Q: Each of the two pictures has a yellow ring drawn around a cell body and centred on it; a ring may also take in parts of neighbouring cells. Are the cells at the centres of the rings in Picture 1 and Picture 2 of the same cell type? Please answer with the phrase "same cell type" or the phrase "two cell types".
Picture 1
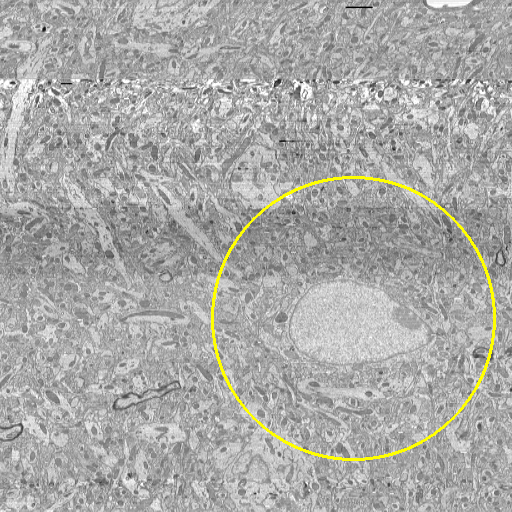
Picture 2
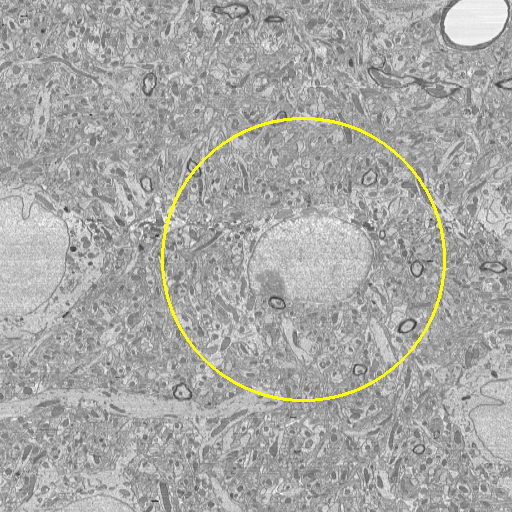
same cell type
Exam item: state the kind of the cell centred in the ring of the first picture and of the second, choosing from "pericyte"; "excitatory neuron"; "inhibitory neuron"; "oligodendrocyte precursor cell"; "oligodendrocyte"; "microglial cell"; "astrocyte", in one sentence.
The cell in the first picture is an astrocyte, and so is the one in the second.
